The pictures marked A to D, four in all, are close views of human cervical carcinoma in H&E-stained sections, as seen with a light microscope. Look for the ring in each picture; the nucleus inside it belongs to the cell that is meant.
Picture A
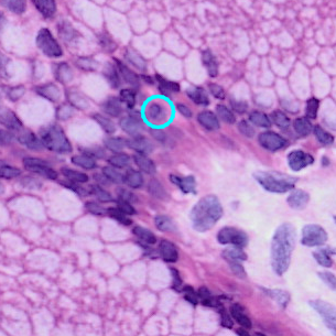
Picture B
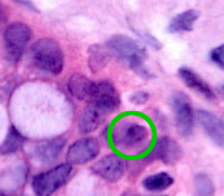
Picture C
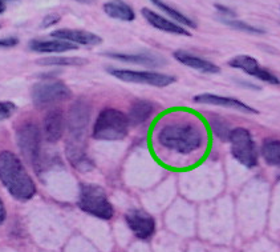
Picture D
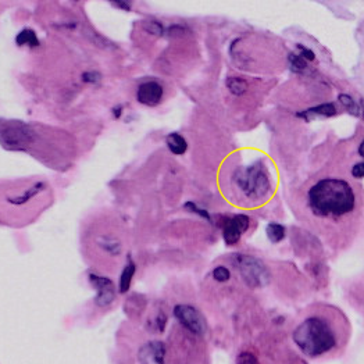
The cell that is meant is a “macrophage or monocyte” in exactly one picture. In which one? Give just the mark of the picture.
D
